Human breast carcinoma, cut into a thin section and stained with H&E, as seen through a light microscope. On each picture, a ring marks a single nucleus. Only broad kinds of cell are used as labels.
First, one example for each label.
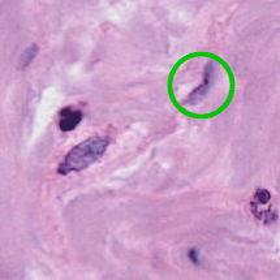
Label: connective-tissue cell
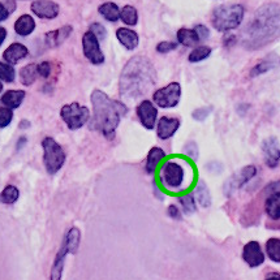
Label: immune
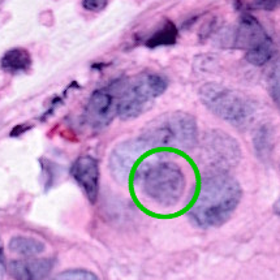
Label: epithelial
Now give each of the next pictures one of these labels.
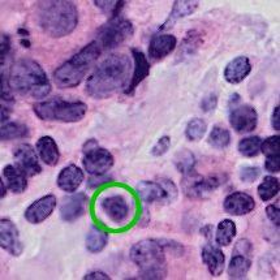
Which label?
immune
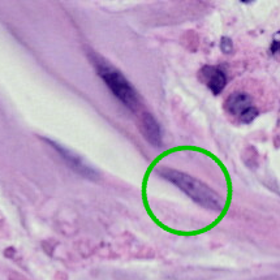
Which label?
connective-tissue cell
